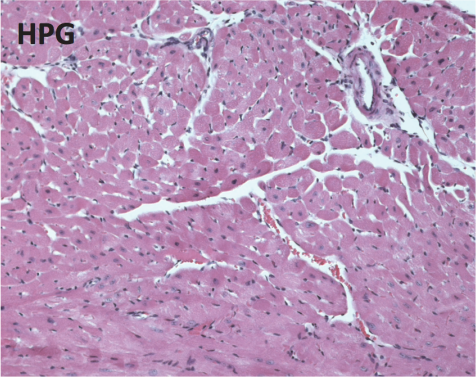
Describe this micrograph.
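Cardiac muscle cut across and obliquely, with evenly pink fibres each holding a central oval nucleus, separated by clear clefts and a few small vessels with red blood cells. Few dark inflammatory cells lie between the fibres or around the vessels. This is heart muscle with largely preserved cardiomyocytes and little inflammation.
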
